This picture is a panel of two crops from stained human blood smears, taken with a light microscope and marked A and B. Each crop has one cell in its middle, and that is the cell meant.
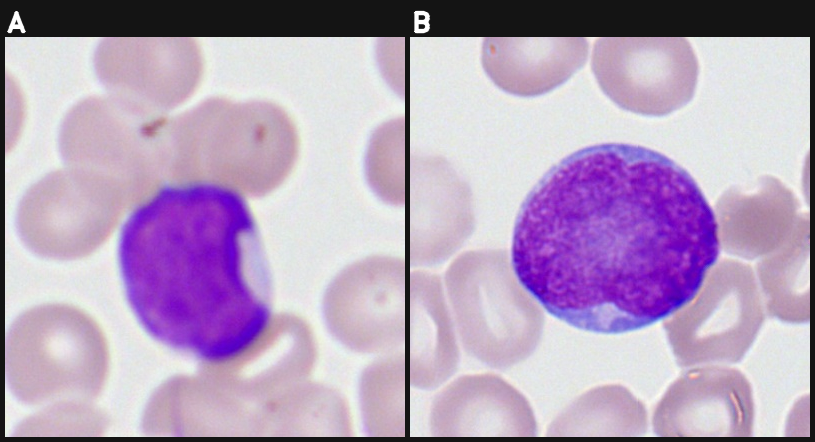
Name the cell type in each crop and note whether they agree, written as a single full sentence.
Yes, both of the crops show myeloblasts.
